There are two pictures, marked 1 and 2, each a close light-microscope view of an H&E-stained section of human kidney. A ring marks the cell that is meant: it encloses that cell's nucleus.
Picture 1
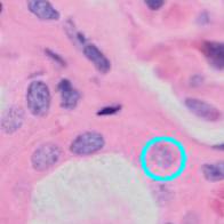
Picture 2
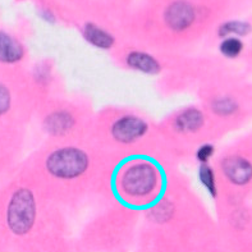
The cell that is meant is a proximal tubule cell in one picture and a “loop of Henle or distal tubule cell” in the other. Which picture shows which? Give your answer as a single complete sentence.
Picture 1 shows a “loop of Henle or distal tubule cell” and picture 2 shows a proximal tubule cell.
